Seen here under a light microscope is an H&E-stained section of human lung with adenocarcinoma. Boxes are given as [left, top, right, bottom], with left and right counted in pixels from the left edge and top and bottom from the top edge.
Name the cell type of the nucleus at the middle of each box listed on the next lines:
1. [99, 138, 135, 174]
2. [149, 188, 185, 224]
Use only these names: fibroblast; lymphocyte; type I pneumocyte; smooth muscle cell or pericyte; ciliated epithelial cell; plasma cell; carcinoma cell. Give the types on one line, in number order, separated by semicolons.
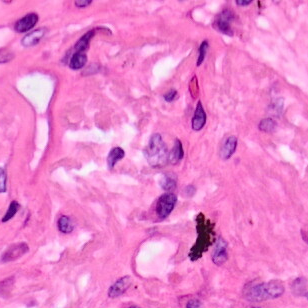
lymphocyte; plasma cell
